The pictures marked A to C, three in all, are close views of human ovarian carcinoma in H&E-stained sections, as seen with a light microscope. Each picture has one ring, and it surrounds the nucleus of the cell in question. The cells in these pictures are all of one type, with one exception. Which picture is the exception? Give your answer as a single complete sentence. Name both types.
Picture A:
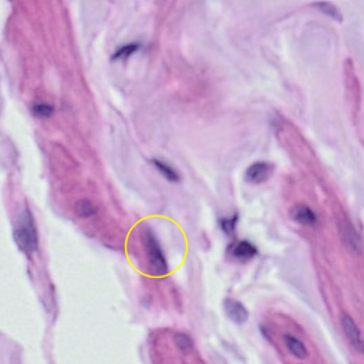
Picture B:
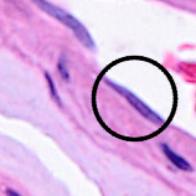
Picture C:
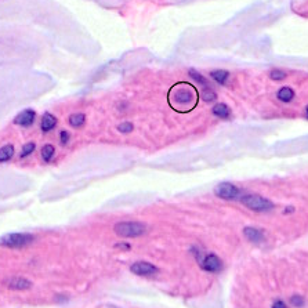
Picture B differs, because its cell is an endothelial cell and the rest are smooth muscle cells.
